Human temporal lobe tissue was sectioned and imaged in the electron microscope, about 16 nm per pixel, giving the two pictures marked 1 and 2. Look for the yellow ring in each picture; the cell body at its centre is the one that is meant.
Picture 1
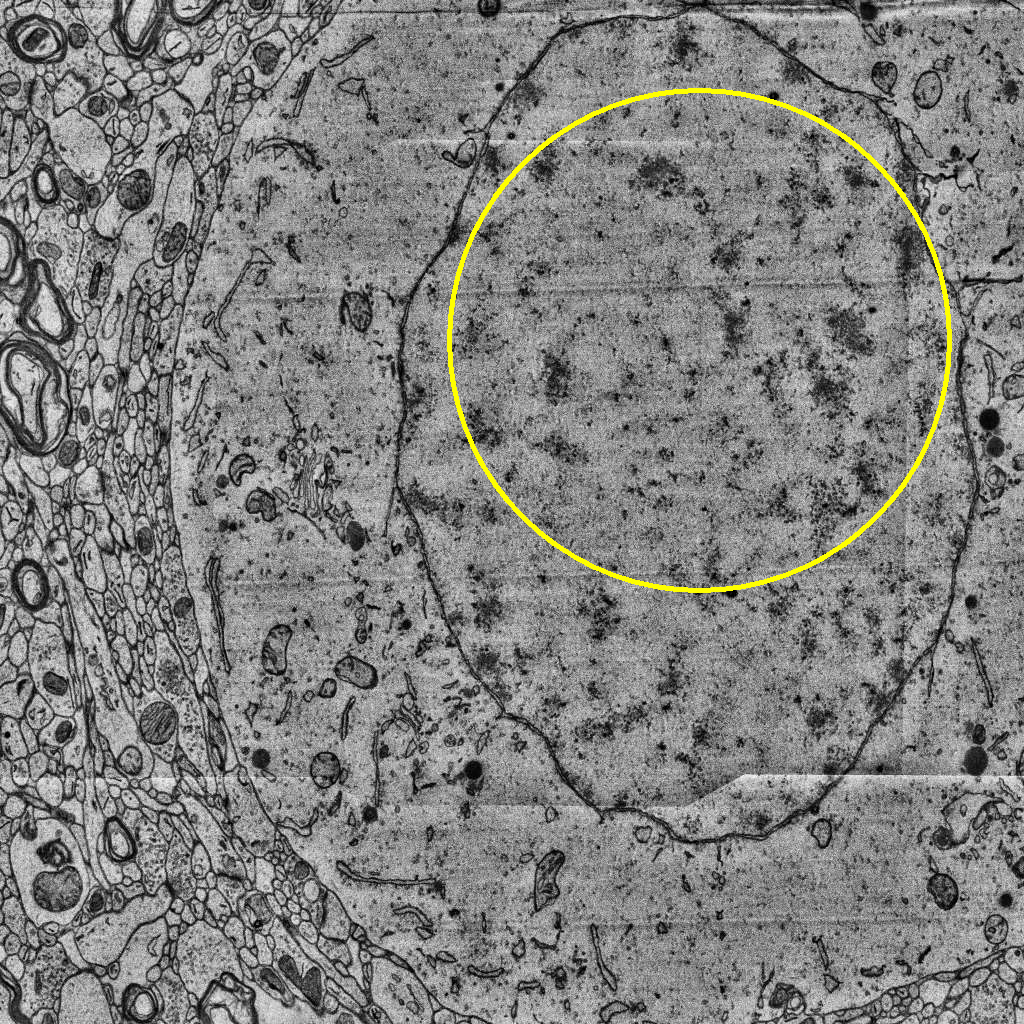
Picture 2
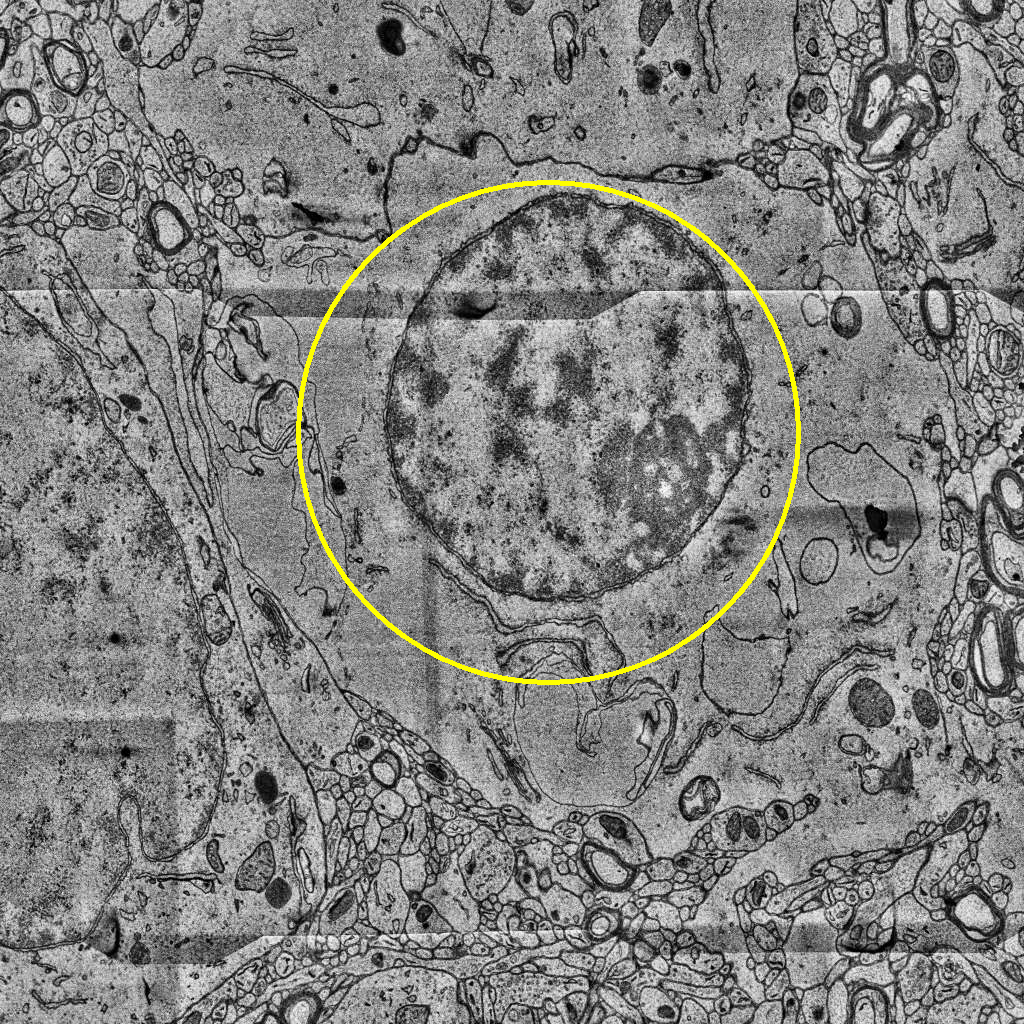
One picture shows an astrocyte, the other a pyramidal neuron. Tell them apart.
It is picture 1 that shows a pyramidal neuron, and picture 2 that shows an astrocyte.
